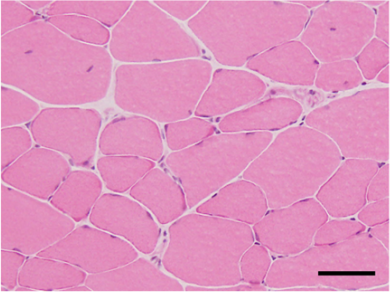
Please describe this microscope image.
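This is skeletal muscle cut across, showing the muscle fibers as large, polygonal, evenly pink profiles with a fine uniform cytoplasm. Between fibers runs a thin, pale connective tissue layer, widening in a few places into small triangular spaces where several fibers meet, some holding a few extra nuclei, probably from small vessels or interstitial cells. Fiber sizes vary somewhat, with some clearly smaller profiles among larger ones.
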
